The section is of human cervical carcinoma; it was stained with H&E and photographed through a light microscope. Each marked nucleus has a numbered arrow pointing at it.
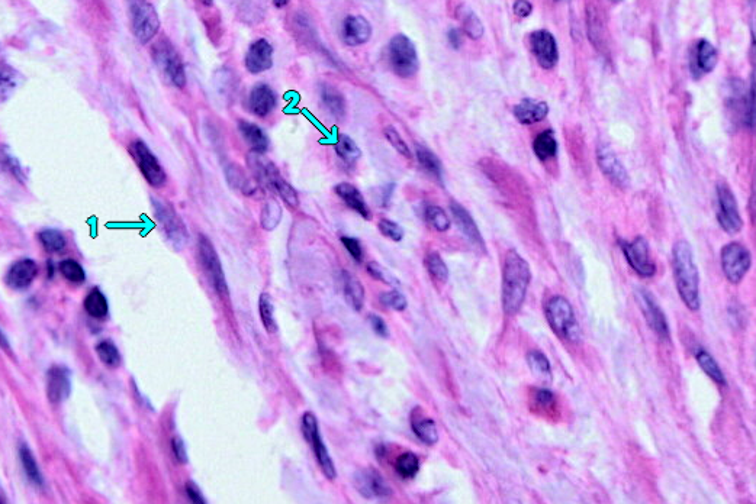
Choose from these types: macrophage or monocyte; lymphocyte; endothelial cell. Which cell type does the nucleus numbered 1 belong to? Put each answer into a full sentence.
In the marked set, the cell given number 1 is an endothelial cell.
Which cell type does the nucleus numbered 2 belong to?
The cell numbered 2 represents a macrophage or monocyte.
